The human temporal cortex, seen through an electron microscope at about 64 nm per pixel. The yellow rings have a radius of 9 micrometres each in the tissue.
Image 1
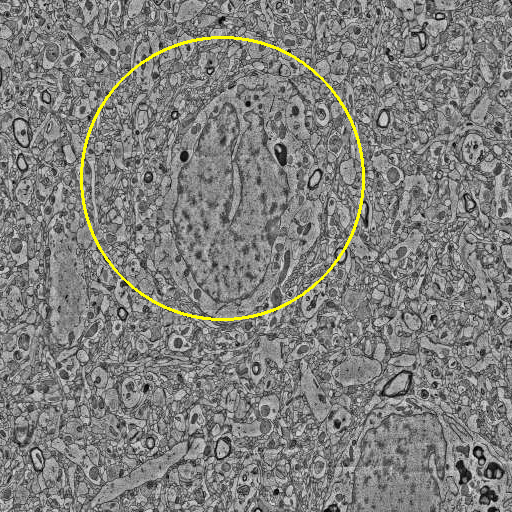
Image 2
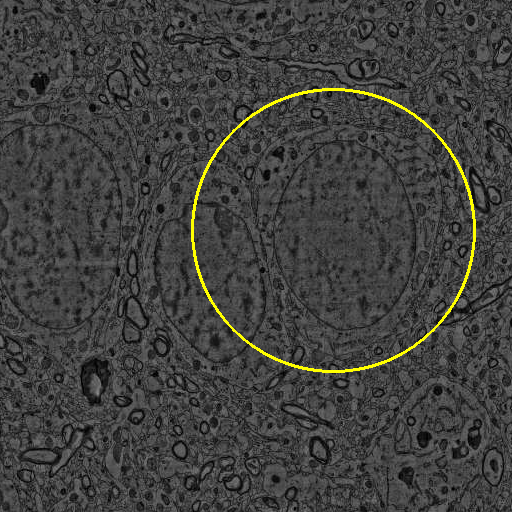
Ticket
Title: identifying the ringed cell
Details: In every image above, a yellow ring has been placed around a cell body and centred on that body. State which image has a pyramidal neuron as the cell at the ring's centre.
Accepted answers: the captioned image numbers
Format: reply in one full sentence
The ring in image 2 is centred on the cell in question.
